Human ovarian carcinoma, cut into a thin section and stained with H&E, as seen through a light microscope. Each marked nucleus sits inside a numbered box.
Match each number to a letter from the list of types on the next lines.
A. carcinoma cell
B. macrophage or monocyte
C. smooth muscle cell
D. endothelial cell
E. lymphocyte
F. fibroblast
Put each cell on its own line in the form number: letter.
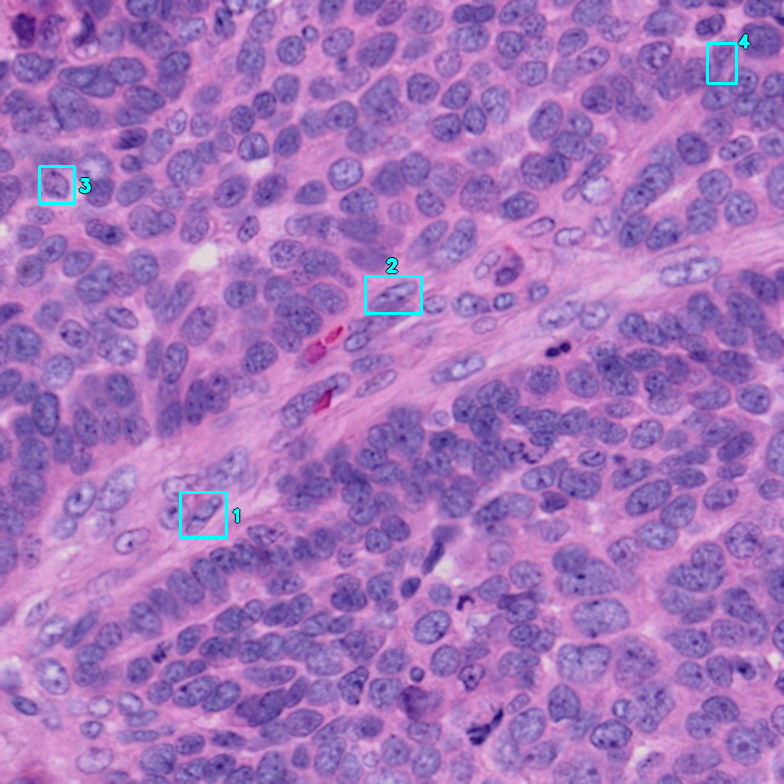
1: F
2: F
3: B
4: A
